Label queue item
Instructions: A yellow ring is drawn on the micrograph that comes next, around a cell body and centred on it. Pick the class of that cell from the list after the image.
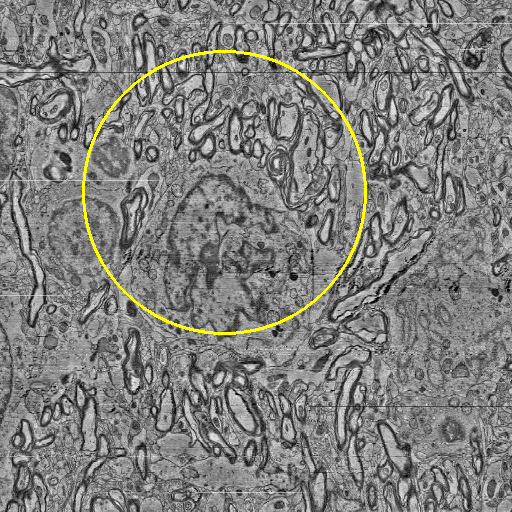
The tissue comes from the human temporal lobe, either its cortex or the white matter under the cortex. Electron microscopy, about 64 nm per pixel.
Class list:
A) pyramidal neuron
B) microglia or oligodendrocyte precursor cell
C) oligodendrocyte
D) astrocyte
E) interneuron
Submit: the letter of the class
E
